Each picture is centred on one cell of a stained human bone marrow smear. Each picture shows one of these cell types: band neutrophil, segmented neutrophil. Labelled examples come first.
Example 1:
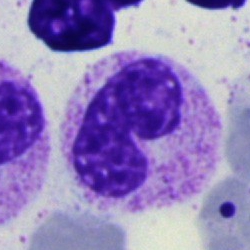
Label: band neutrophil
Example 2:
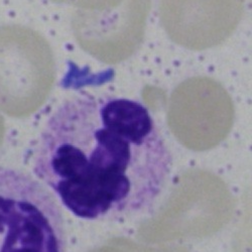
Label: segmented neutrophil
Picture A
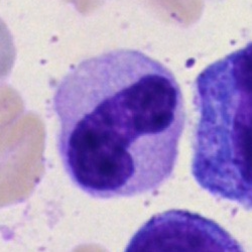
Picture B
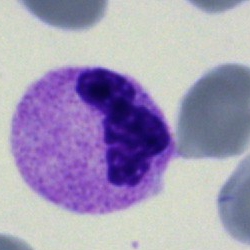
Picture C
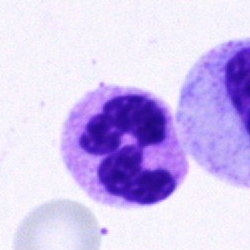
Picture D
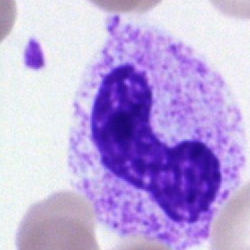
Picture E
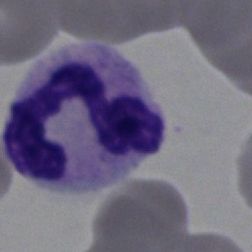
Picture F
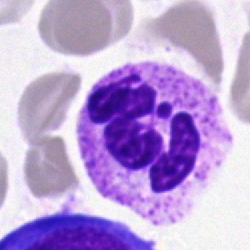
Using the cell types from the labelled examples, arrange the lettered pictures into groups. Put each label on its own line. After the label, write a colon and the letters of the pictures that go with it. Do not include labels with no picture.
band neutrophil: A, D
segmented neutrophil: B, C, E, F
